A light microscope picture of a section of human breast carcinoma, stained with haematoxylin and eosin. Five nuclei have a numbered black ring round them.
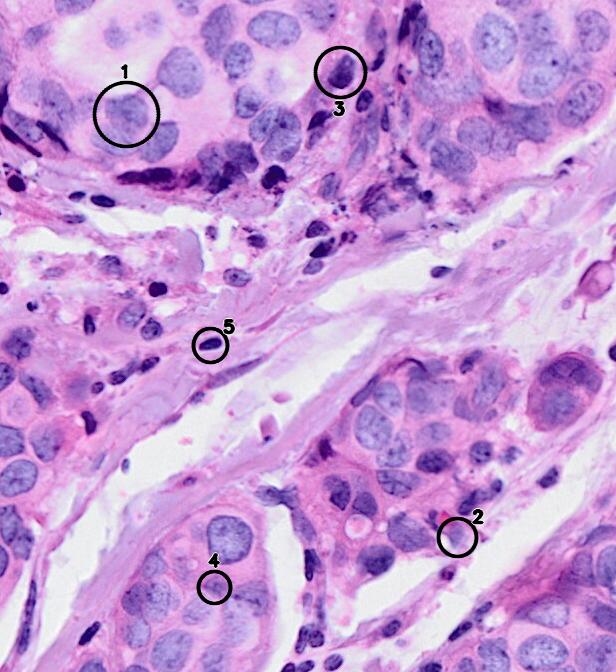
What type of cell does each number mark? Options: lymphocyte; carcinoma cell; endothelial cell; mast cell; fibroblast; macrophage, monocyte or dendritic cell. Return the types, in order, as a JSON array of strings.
["carcinoma cell", "endothelial cell", "carcinoma cell", "carcinoma cell", "lymphocyte"]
